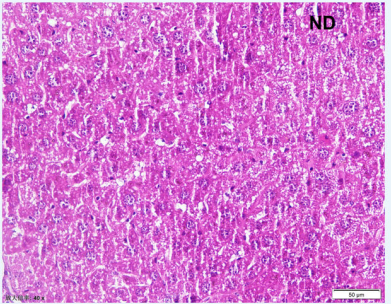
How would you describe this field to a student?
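Liver tissue made of closely packed hepatocytes arranged in cords. The cells are polygonal with pink, finely granular cytoplasm and round purple nuclei, several of which show visible nucleoli. The cords run roughly in parallel and are separated by narrow, pale, slit-like spaces. The cytoplasm is even in texture, without large clear vacuoles, and the tissue looks dense and uniform across the field.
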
